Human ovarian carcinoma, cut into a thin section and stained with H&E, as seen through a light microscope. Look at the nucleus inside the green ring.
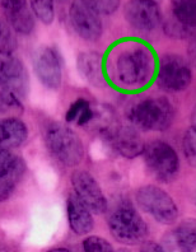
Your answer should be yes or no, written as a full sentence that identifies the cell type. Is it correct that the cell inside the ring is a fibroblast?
No, not quite: the cell inside the ring is a carcinoma cell rather than a fibroblast.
